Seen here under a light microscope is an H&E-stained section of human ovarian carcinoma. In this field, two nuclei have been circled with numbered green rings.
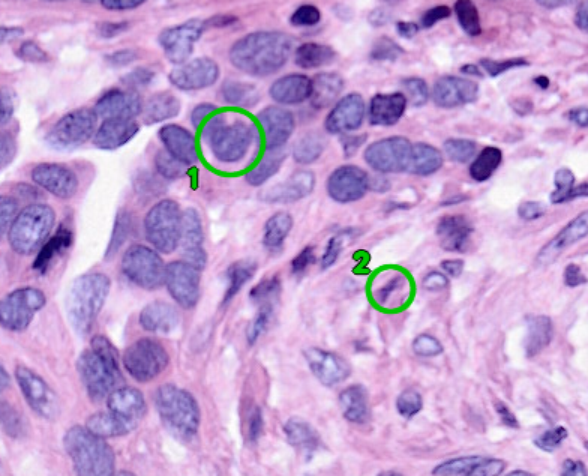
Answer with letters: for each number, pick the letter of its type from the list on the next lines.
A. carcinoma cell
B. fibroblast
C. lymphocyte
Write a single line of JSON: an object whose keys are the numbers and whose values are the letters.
{"1": "A", "2": "B"}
